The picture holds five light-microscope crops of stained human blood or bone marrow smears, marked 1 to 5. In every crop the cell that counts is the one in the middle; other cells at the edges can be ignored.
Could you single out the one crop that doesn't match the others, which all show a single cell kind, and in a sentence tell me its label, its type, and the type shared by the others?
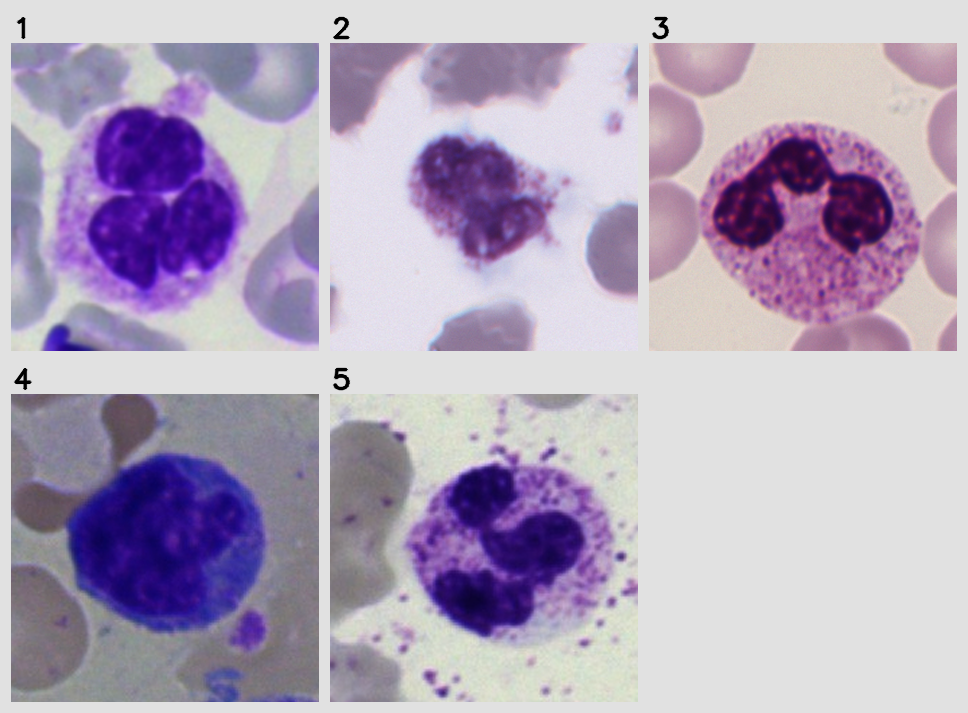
The set is made up of neutrophils, with the single exception of crop 4, which is a monocyte.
